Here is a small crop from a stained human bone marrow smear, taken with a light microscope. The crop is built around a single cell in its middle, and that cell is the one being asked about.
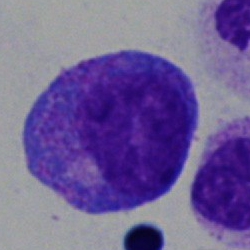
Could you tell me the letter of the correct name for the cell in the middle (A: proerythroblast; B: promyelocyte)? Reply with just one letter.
B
